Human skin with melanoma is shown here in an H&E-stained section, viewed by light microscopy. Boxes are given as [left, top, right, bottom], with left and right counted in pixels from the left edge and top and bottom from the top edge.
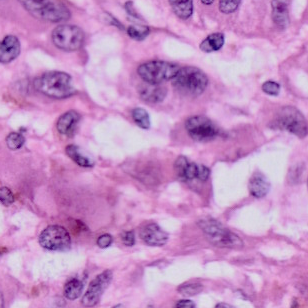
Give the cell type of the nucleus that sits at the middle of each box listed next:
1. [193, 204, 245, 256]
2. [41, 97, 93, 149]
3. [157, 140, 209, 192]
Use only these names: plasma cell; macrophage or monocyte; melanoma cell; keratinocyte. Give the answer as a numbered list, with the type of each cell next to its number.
1. melanoma cell
2. macrophage or monocyte
3. melanoma cell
